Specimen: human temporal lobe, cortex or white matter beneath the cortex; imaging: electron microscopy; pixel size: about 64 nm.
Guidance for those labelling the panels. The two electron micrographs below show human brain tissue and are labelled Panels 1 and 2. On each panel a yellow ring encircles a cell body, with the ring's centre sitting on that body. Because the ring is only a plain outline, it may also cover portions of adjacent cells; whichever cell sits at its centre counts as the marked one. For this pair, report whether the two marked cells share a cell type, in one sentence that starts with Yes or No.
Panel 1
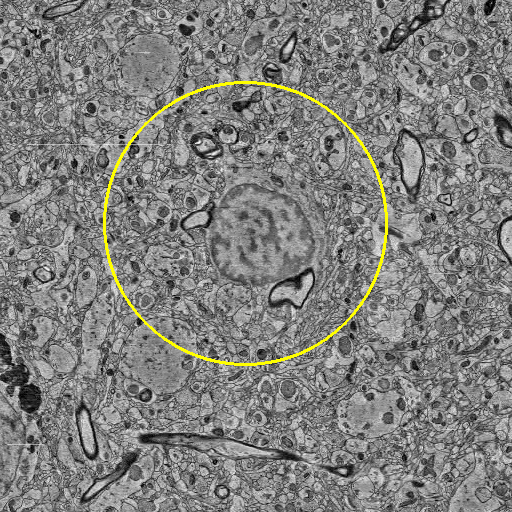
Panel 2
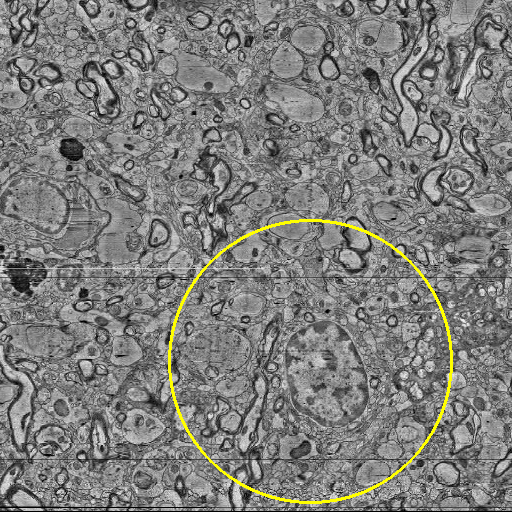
No, in Panel 1 and Panel 2 the marked cells at the ring centres are of two types.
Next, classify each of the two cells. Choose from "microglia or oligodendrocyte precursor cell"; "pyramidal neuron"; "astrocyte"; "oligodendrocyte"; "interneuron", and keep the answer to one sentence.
In the first picture it is an oligodendrocyte; in the second it is a microglial cell or oligodendrocyte precursor cell.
